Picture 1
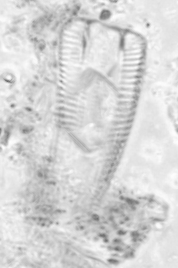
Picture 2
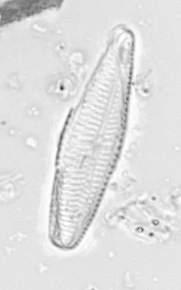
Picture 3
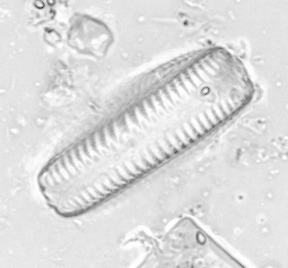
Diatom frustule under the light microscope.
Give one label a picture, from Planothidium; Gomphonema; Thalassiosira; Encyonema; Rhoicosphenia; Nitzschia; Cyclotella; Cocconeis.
Picture 1: Rhoicosphenia
Picture 2: Gomphonema
Picture 3: Encyonema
